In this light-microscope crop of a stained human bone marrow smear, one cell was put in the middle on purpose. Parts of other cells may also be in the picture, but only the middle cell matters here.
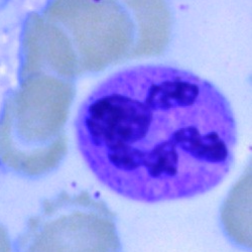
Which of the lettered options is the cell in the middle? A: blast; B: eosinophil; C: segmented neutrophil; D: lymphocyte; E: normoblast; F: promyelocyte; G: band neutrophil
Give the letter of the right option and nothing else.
C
